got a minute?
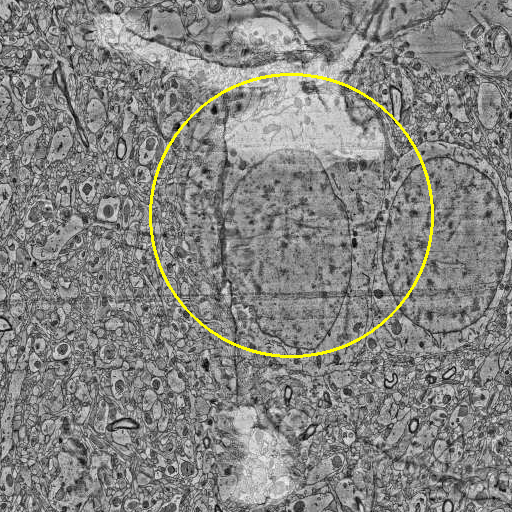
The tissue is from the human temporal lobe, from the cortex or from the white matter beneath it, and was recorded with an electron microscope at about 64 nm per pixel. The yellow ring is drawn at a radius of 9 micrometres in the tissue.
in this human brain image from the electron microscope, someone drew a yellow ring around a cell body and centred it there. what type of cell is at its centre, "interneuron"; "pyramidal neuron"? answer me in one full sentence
It's a pyramidal neuron at the middle of that yellow ring in the shot.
